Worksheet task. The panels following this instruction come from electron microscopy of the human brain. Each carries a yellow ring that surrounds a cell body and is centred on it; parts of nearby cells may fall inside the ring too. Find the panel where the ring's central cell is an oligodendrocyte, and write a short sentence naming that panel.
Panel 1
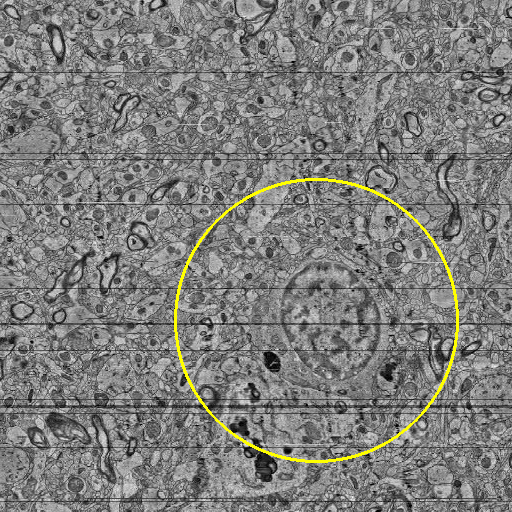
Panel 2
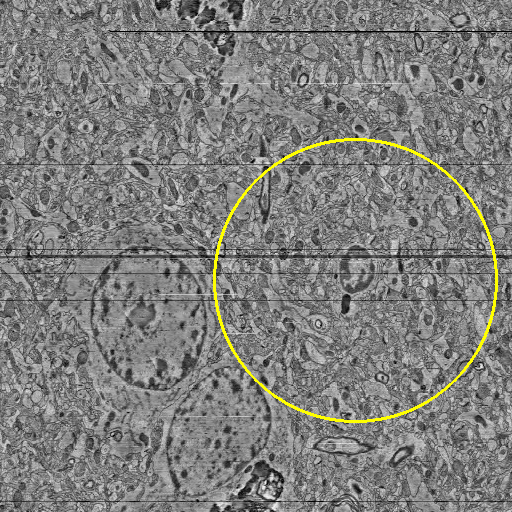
The cell sought is in Panel 1.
